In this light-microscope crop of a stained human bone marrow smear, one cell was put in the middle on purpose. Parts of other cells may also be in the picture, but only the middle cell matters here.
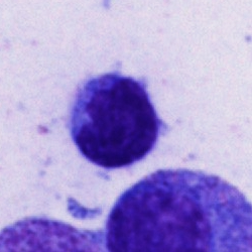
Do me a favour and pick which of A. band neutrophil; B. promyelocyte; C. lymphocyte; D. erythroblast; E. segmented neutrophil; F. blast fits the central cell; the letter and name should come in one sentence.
What option C states is correct, the central cell being a lymphocyte.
